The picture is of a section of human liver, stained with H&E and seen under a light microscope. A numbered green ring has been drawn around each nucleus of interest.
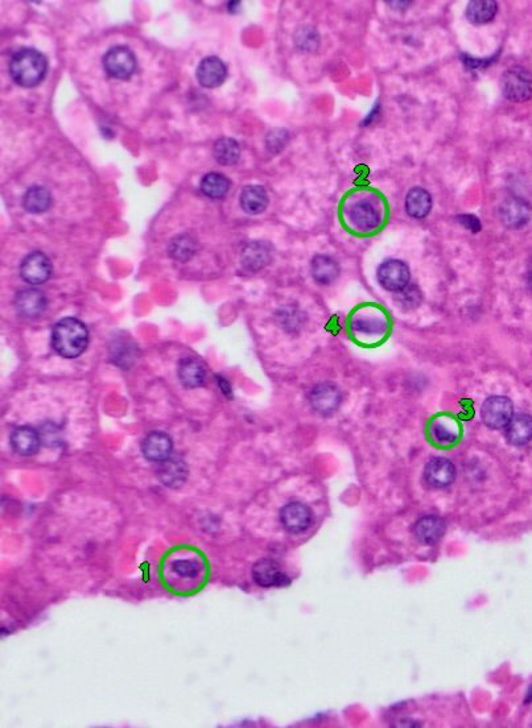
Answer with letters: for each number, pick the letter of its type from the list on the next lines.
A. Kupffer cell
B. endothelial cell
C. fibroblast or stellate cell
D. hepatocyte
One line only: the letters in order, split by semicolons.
C; D; B; A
